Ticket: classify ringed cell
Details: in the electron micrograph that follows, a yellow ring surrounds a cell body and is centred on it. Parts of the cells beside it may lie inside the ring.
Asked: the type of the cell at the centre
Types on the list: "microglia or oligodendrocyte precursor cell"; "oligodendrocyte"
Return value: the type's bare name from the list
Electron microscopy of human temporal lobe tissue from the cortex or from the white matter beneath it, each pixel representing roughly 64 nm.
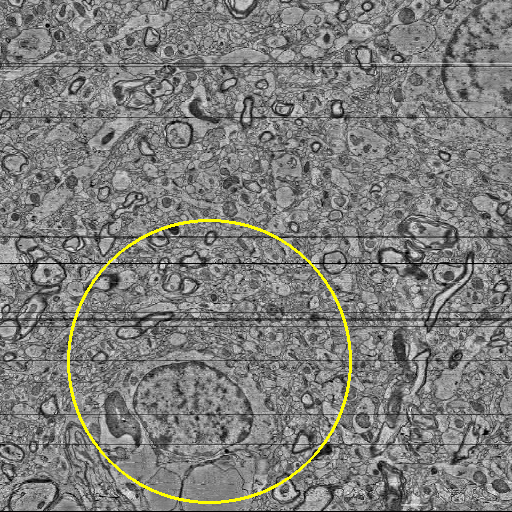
microglia or oligodendrocyte precursor cell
